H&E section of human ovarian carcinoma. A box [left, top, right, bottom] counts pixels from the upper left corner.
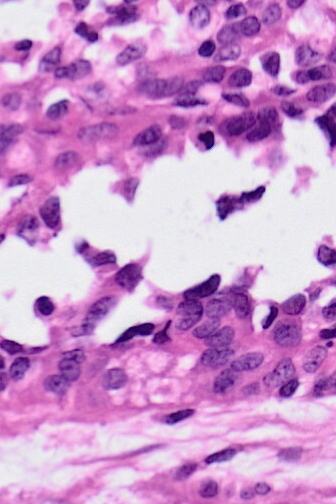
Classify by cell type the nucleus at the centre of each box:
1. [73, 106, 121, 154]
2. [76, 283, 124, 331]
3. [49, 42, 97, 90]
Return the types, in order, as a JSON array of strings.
["endothelial cell", "carcinoma cell", "macrophage or monocyte"]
